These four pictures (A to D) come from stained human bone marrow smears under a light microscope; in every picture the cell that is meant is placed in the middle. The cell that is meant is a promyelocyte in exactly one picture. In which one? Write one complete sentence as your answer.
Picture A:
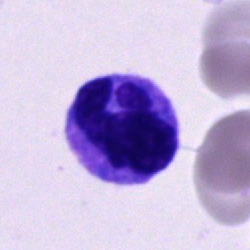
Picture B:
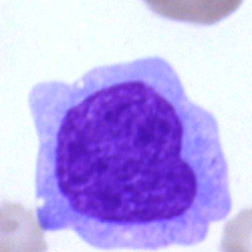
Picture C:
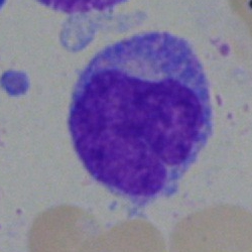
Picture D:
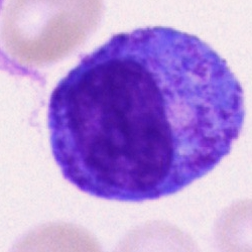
The picture with the promyelocyte is D.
